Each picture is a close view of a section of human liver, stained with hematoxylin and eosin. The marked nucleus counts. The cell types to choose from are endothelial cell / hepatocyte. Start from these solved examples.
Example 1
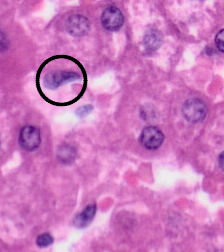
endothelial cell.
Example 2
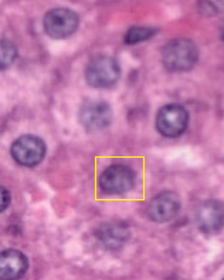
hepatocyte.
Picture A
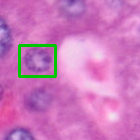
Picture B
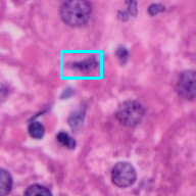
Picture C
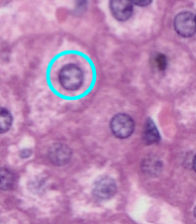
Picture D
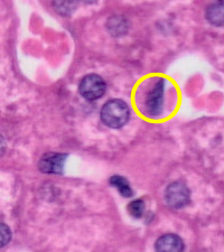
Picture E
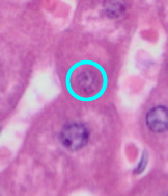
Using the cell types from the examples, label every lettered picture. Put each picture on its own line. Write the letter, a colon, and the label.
A: hepatocyte.
B: endothelial cell.
C: hepatocyte.
D: endothelial cell.
E: hepatocyte.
